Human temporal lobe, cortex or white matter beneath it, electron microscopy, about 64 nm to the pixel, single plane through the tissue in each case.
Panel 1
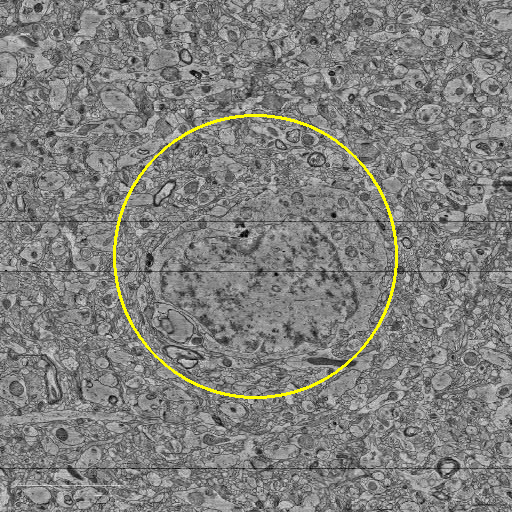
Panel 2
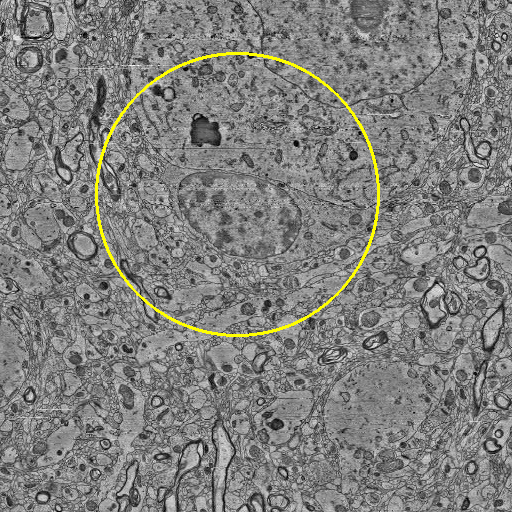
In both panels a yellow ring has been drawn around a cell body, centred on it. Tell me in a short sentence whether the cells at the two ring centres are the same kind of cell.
No, they are two kinds of cell.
